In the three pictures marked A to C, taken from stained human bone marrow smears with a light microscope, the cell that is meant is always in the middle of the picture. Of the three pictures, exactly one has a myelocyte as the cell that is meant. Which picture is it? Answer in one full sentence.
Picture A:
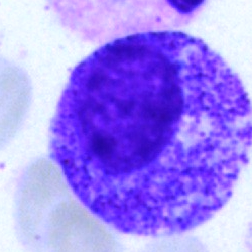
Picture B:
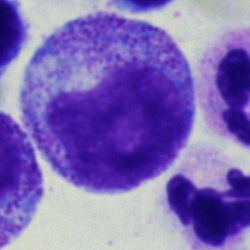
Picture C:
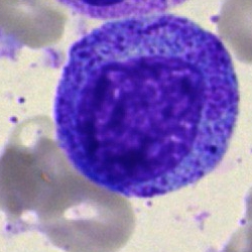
The myelocyte is the one in picture A.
